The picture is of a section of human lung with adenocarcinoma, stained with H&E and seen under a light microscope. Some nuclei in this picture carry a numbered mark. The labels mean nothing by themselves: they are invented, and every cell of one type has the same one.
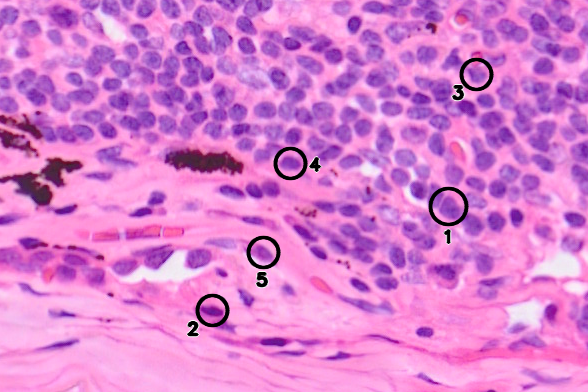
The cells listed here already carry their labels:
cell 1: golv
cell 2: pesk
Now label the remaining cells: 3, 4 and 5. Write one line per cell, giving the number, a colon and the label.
3: golv
4: golv
5: pesk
